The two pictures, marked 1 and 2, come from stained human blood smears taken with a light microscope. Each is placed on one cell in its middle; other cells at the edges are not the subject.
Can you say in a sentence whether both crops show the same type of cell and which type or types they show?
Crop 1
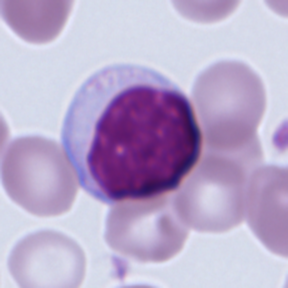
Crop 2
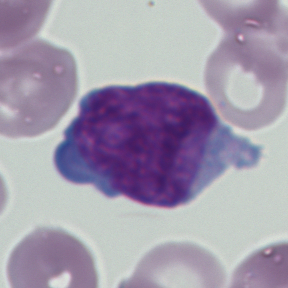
No, a myeloblast is the cell of crop 2, while a large granular lymphocyte is the cell of crop 1.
